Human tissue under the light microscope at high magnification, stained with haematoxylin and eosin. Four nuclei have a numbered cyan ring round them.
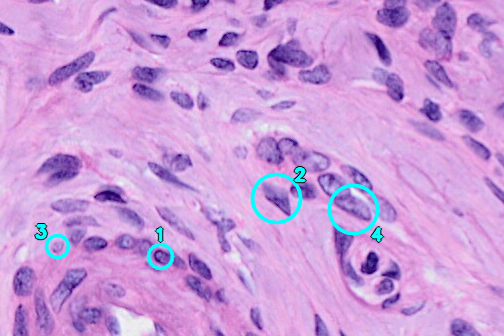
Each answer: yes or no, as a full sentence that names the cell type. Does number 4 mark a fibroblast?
No, cell 4 is not a fibroblast; an endothelial cell is correct.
